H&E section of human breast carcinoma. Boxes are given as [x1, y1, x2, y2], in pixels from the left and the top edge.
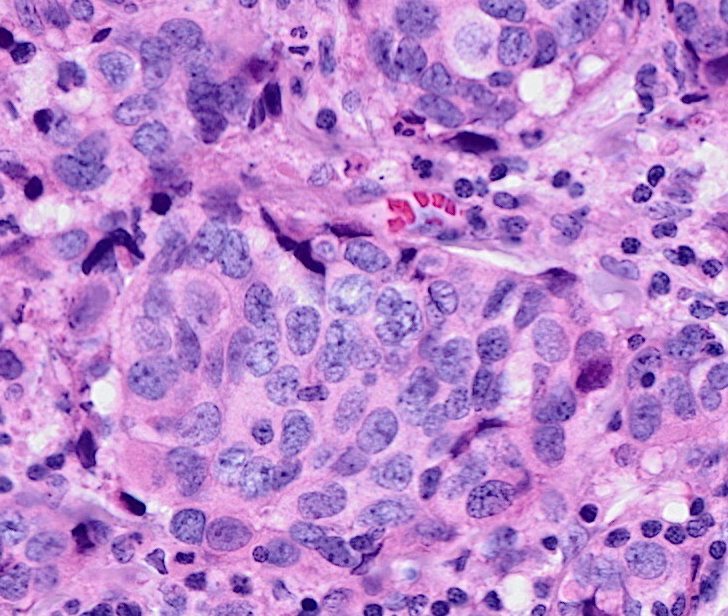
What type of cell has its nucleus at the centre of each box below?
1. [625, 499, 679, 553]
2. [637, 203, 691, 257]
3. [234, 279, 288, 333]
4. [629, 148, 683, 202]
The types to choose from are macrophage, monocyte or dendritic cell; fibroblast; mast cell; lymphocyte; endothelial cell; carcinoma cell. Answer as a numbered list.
1. lymphocyte
2. lymphocyte
3. carcinoma cell
4. lymphocyte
